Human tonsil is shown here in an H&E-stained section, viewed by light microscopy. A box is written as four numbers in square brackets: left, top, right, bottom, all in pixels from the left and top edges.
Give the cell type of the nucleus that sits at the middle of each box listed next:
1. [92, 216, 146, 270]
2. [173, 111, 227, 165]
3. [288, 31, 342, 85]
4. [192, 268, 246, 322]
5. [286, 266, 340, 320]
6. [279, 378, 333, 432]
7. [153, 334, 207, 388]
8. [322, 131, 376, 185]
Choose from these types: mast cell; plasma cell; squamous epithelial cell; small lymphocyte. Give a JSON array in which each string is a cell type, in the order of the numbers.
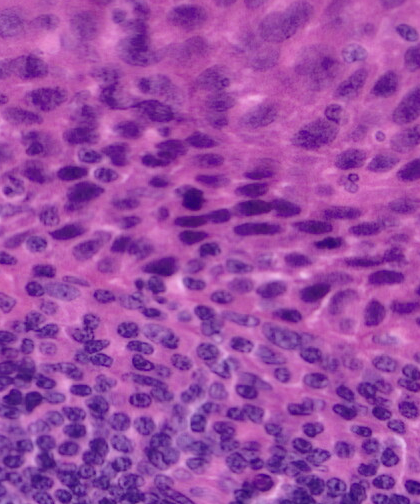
["squamous epithelial cell", "squamous epithelial cell", "squamous epithelial cell", "plasma cell", "squamous epithelial cell", "plasma cell", "plasma cell", "squamous epithelial cell"]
